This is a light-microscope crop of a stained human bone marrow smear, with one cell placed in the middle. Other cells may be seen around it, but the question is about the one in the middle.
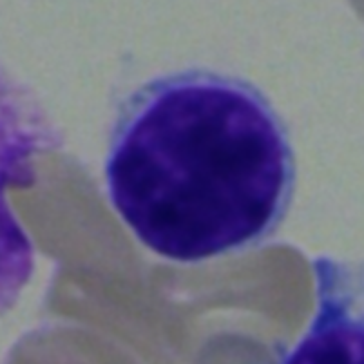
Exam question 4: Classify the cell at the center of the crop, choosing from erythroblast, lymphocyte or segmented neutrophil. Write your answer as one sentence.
The central cell shown in this smear crop is a lymphocyte.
